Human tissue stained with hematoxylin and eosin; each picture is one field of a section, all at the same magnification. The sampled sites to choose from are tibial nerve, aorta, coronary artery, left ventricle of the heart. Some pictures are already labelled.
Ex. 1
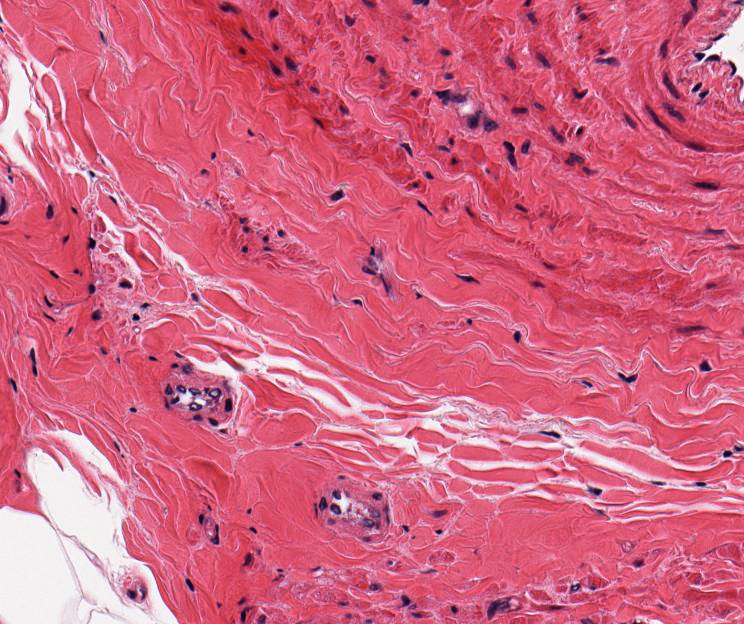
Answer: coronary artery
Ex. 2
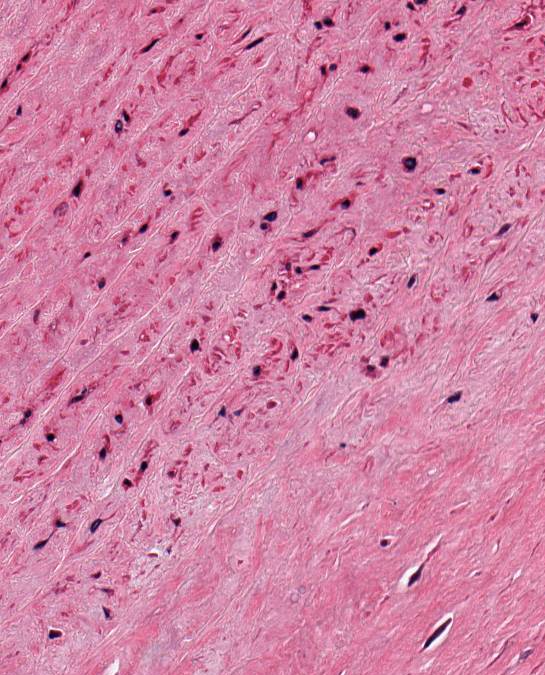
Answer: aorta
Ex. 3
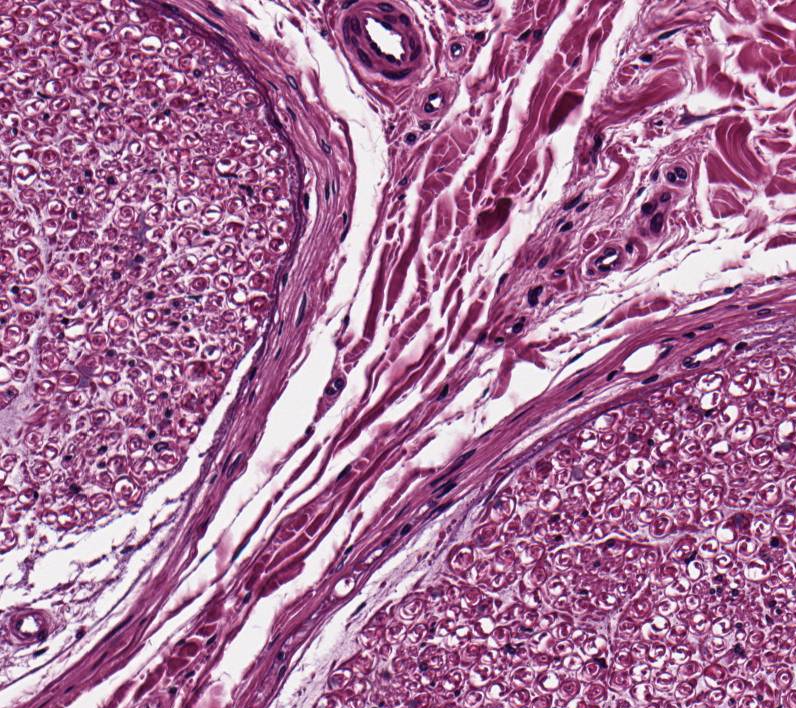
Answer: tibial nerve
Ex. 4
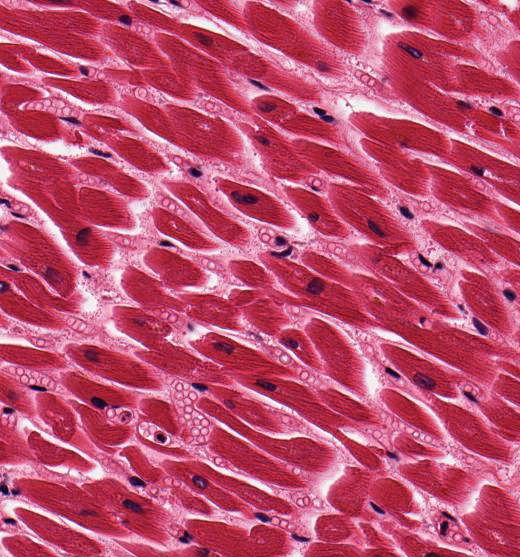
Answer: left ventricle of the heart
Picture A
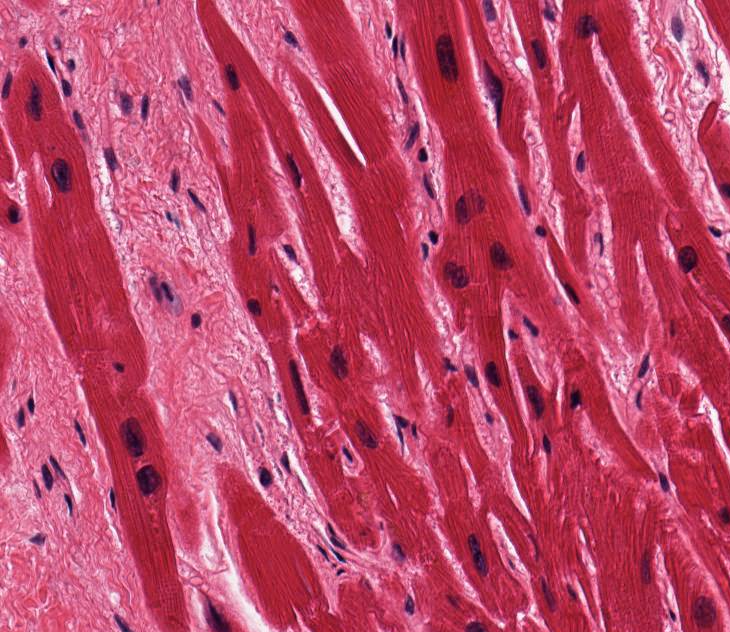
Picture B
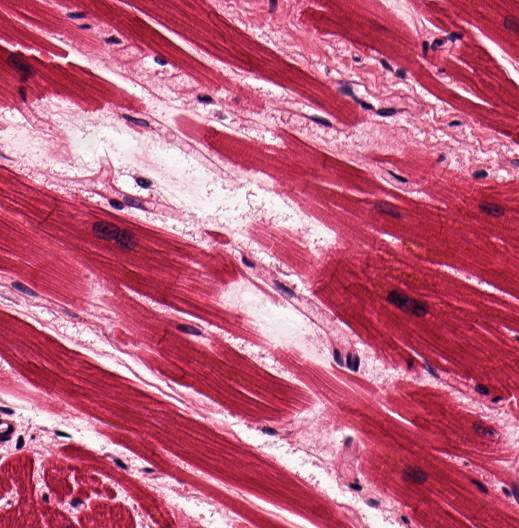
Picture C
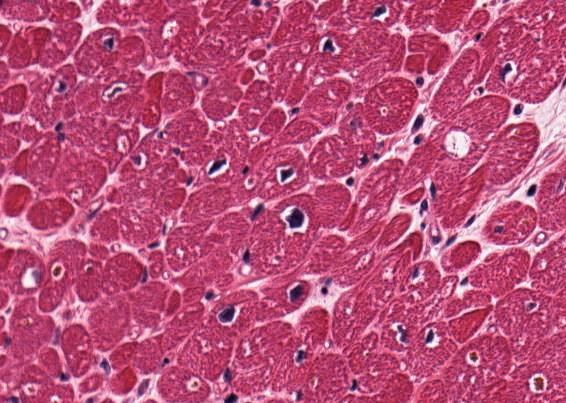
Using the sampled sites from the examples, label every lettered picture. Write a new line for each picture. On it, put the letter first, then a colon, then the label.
A: left ventricle of the heart
B: left ventricle of the heart
C: left ventricle of the heart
